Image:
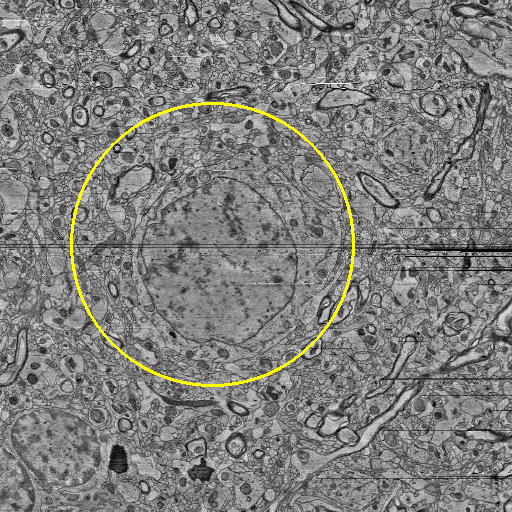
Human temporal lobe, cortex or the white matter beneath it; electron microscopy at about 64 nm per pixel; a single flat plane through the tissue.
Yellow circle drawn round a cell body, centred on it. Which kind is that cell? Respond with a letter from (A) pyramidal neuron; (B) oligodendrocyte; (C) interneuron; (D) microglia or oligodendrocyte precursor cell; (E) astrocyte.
A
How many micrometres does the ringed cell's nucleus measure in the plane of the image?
In this plane, the nucleus measures approximately 11 micrometres across.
